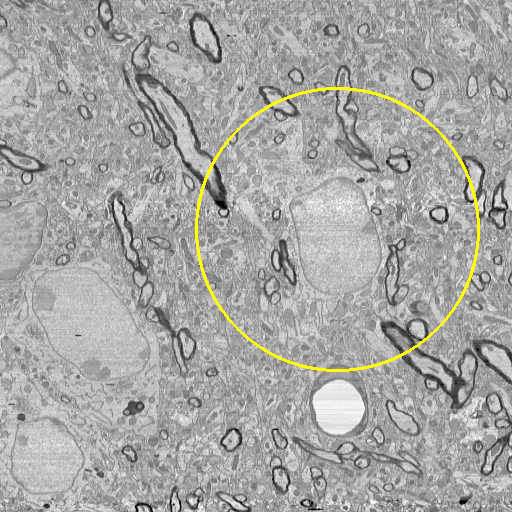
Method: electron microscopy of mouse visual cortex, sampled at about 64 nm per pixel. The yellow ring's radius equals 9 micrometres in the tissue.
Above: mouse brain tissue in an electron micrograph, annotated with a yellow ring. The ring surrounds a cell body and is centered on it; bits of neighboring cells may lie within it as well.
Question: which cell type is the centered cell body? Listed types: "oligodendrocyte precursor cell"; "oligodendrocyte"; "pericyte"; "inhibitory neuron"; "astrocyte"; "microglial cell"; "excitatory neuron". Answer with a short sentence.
The centered cell body is an astrocyte.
